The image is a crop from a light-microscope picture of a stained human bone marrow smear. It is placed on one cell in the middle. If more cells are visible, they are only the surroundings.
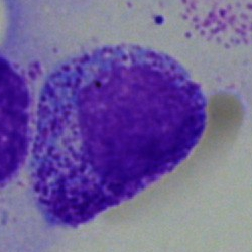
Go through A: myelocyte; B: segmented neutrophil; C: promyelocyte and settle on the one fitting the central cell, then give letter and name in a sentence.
The central cell, a myelocyte, is correctly identified by option A.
